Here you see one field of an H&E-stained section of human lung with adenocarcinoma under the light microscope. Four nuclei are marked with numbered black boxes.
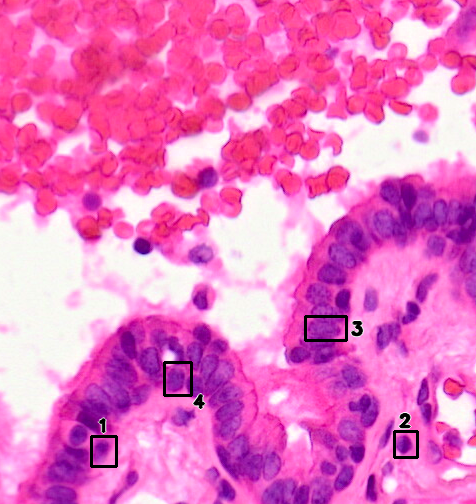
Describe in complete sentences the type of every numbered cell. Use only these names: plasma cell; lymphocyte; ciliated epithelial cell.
Cell 1 is a ciliated epithelial cell, cell 2 is a lymphocyte, cell 3 is a ciliated epithelial cell and cell 4 is a ciliated epithelial cell.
